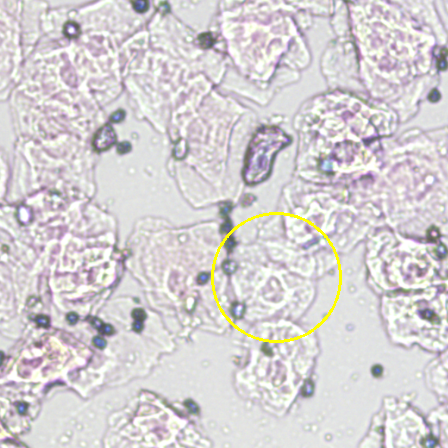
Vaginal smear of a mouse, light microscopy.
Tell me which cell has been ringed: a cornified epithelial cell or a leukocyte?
It is a cornified epithelial cell.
